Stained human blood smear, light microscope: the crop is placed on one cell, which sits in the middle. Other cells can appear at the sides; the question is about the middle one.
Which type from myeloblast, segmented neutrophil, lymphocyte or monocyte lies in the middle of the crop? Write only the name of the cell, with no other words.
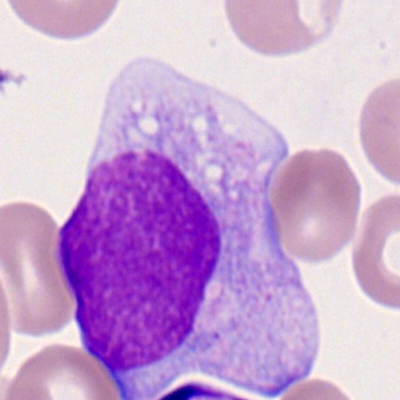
monocyte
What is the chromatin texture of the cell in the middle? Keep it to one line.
Its chromatin is finely dispersed rather than coarsely clumped.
